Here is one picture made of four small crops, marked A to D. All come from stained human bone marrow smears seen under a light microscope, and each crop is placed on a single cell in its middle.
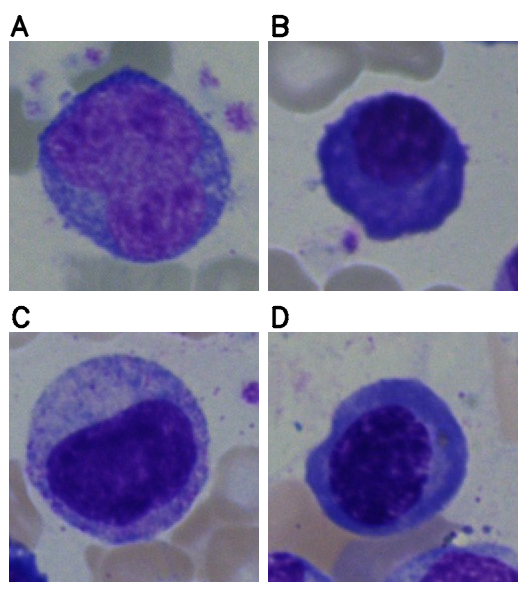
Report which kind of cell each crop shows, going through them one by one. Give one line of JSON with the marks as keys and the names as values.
{"A": "blast", "B": "plasma cell", "C": "myelocyte", "D": "erythroblast"}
